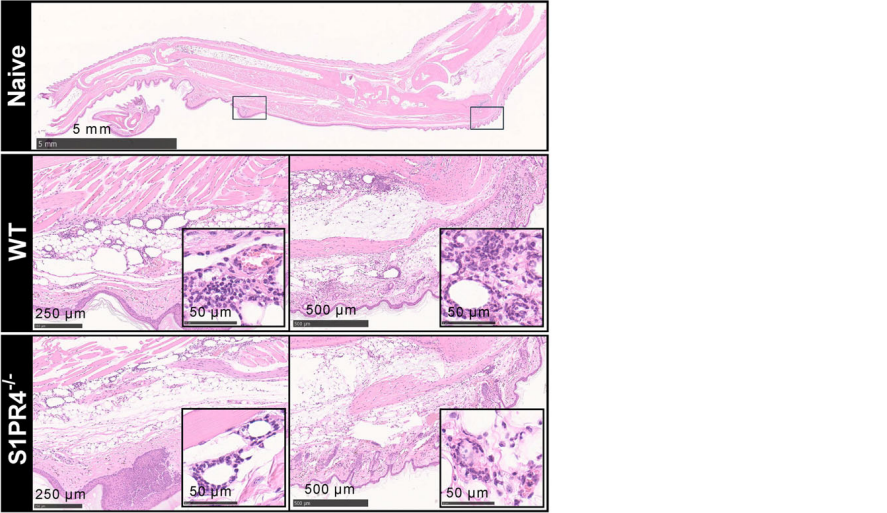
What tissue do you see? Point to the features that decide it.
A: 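The top low-power section shows a long limb-end with jointed bones and toe-like projections. Skin covers the section with muscle and fat beneath. So: hind paw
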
